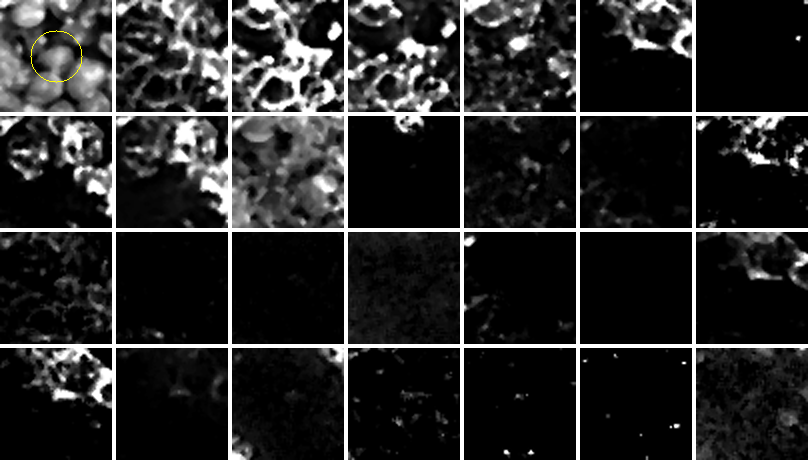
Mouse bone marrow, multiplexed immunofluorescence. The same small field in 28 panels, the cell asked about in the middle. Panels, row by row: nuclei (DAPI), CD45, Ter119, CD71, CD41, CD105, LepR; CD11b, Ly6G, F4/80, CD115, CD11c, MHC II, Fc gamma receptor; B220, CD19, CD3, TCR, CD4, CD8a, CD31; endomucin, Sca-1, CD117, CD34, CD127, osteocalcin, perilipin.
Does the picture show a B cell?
No, it shows a capillary endothelial cell.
